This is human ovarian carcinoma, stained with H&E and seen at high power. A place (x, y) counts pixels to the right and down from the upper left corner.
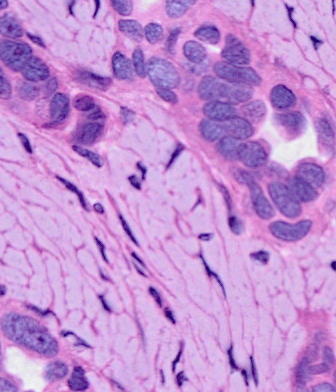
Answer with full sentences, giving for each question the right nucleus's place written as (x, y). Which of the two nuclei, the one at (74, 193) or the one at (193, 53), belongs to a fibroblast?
The nucleus that belongs to a fibroblast is located at (74, 193).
